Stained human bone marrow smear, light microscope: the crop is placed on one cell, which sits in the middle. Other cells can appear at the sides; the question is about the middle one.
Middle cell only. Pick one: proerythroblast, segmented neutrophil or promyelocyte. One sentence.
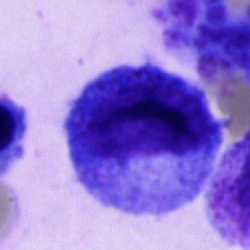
This crop is built around a promyelocyte at its centre.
